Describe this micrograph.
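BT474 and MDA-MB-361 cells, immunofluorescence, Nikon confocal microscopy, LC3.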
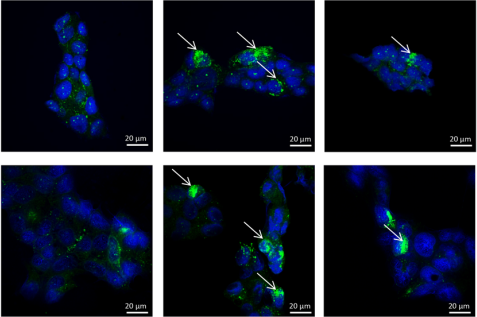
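Green signal lies in the cytoplasm around the nuclei. In some cells it is faint and diffuse. In others it gathers into bright dots and clumps, marked by arrows, which are the punctate vesicle structures. The cells grow as tight groups rather than as separate single cells.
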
